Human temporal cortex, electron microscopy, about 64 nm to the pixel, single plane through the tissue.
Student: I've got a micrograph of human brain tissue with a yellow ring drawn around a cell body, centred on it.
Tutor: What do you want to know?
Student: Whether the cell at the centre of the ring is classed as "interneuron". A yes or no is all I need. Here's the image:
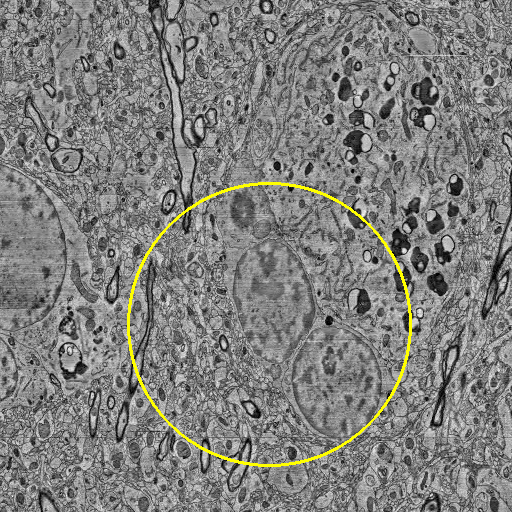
no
